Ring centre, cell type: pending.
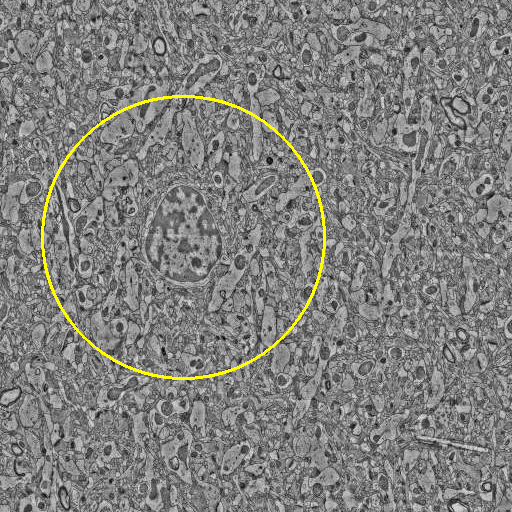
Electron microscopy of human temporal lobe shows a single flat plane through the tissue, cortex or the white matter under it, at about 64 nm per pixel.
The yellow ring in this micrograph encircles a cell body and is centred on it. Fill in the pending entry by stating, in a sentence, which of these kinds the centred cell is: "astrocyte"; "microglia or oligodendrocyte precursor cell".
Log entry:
The centred cell is recorded as a microglial cell or oligodendrocyte precursor cell.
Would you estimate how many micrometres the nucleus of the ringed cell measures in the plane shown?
About 6 by 5 micrometers for the nucleus, in this plane.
